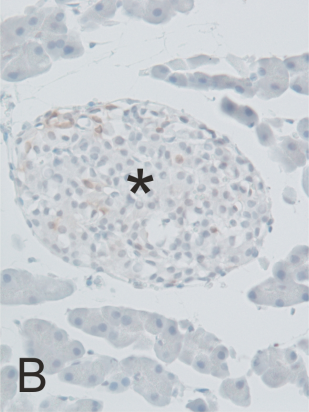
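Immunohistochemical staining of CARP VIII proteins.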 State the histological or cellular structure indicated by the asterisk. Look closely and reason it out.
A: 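A round cluster of small, pale cells with small nuclei. The cluster is surrounded by acini of larger cells with basal nuclei. The answer: pancreatic Langerhans islets.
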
